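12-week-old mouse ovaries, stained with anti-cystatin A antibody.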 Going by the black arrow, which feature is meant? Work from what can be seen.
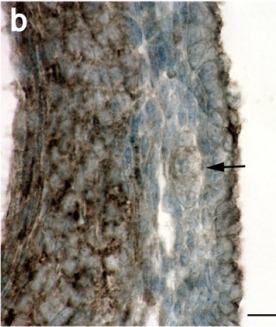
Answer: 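A small rounded structure lies in the outer part of the ovary near the surface. That points to this answer: primordial follicles.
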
